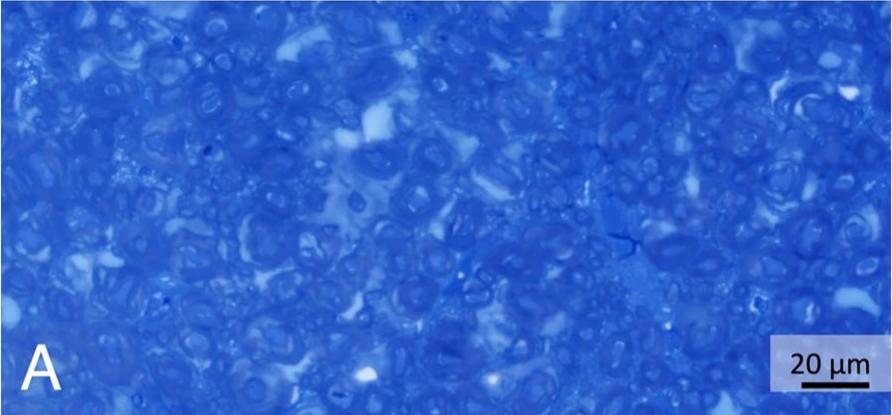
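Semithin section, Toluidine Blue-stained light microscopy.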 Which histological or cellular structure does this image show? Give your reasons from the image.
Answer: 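Myelinated axons. Many small round profiles fill the field, each with a darker blue ring around a paler centre. The round profiles are packed closely side by side.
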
